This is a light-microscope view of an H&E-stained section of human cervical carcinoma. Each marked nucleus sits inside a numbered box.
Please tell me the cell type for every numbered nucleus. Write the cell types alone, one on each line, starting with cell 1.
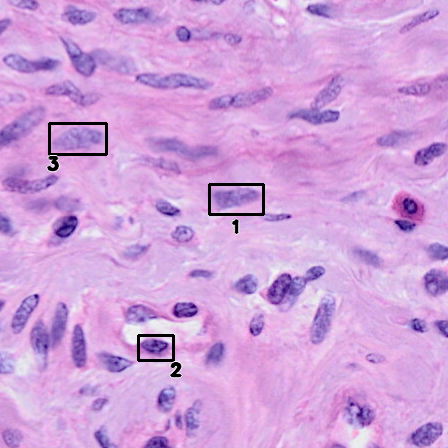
fibroblast
endothelial cell
smooth muscle cell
